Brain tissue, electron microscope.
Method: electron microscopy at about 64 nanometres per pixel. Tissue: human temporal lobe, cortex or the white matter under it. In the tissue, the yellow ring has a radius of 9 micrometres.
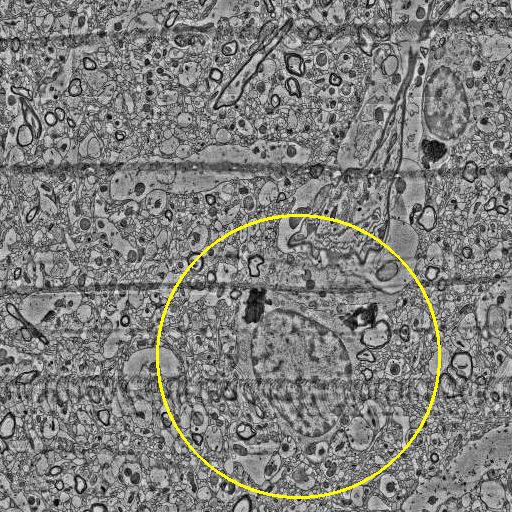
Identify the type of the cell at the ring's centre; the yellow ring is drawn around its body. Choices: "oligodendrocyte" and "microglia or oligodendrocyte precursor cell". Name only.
oligodendrocyte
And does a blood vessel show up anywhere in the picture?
Yes, the image shows a blood vessel.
